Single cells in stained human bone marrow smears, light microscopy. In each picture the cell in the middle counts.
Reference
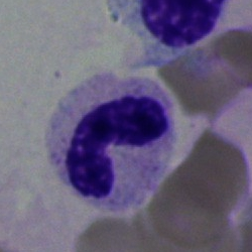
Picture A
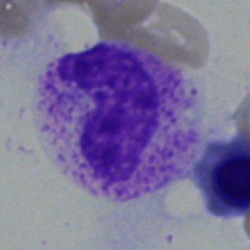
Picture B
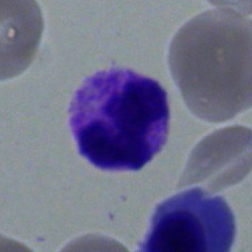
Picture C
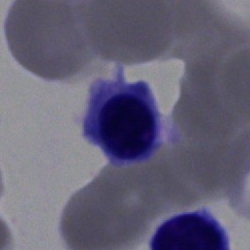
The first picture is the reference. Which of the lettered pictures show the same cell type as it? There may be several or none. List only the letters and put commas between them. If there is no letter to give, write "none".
A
